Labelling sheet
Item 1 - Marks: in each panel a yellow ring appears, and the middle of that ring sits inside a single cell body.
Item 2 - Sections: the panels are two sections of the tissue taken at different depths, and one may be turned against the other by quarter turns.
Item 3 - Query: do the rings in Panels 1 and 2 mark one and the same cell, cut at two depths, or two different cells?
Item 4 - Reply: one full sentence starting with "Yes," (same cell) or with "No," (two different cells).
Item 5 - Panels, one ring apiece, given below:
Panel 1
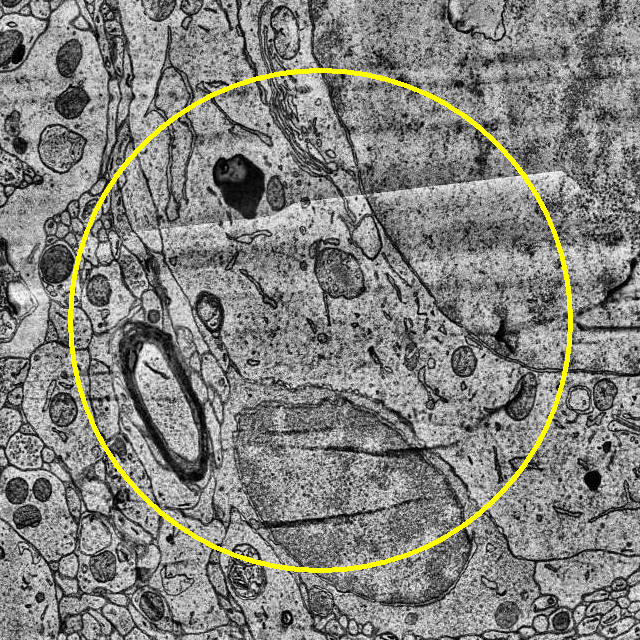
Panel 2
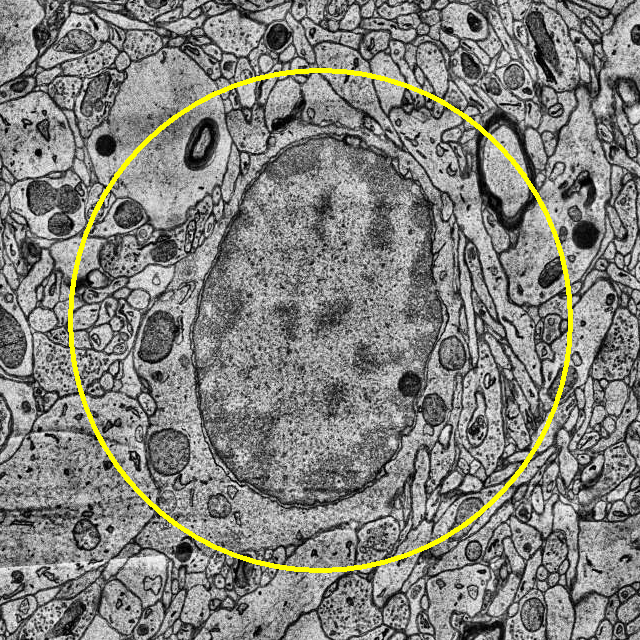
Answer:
No, the two rings indicate two different cells, not one.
